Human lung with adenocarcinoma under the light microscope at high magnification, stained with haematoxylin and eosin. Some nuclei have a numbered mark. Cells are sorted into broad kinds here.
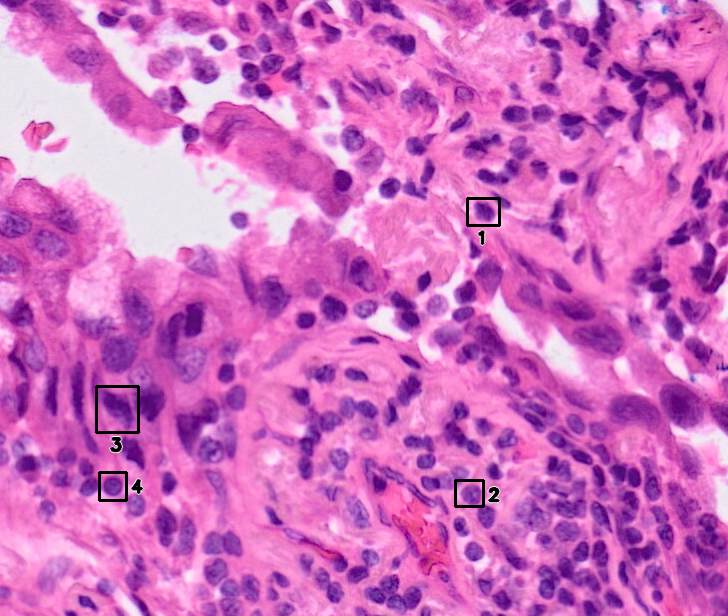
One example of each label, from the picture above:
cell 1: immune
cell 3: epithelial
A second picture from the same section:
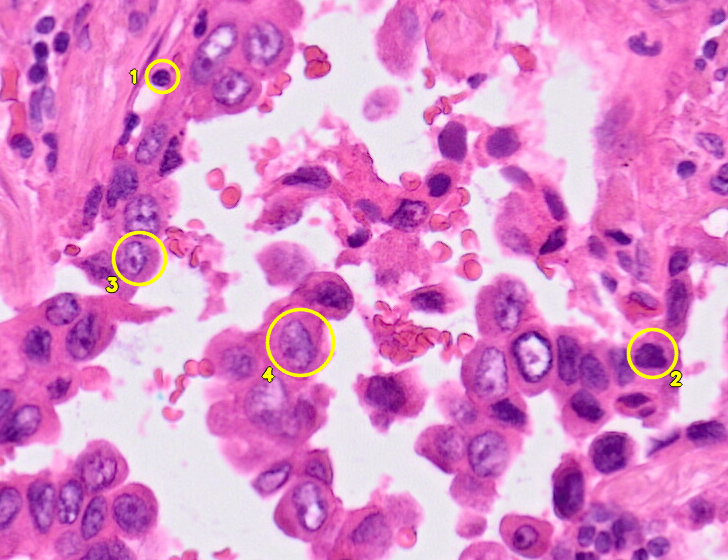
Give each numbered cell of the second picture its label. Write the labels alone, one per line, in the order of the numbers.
immune
epithelial
epithelial
epithelial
